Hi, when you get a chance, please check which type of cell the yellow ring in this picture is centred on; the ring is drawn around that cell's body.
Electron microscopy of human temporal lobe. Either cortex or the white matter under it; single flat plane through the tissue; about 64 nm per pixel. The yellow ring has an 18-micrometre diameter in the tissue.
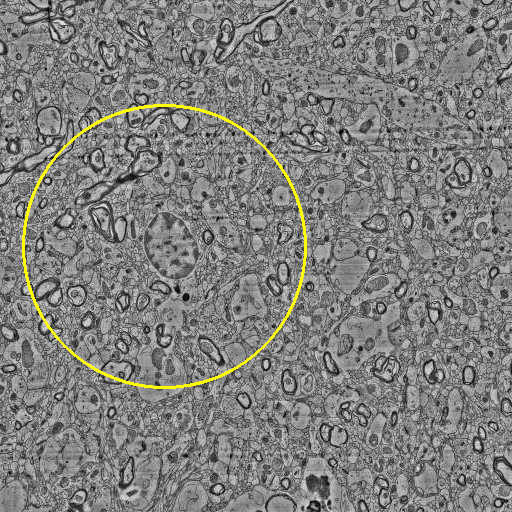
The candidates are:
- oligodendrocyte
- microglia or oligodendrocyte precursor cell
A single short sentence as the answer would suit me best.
The ring is drawn around the body of a microglial cell or oligodendrocyte precursor cell.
